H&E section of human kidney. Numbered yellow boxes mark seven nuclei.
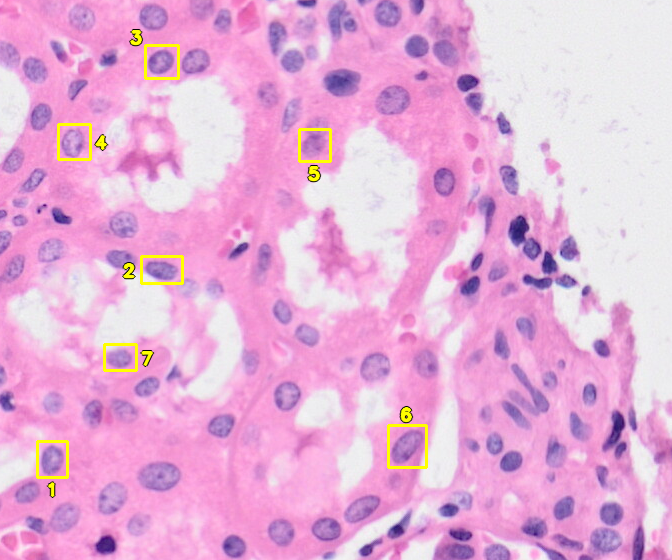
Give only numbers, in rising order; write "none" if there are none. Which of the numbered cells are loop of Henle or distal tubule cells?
1, 2, 7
